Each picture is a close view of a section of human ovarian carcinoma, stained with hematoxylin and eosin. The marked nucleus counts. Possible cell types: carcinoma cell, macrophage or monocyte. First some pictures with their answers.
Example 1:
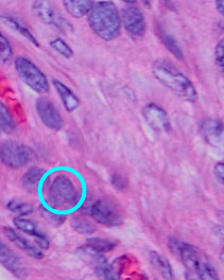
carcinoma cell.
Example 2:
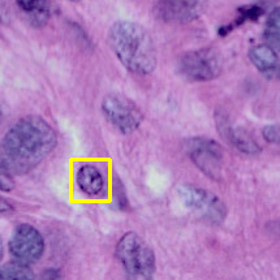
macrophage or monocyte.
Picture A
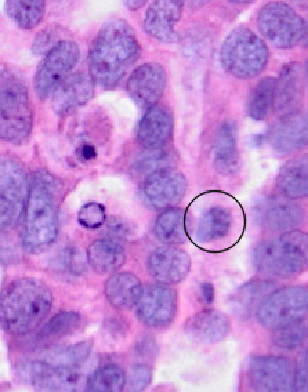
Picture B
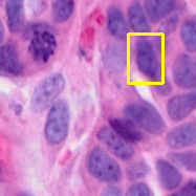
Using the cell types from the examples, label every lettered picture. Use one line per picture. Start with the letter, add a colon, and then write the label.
A: macrophage or monocyte.
B: carcinoma cell.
